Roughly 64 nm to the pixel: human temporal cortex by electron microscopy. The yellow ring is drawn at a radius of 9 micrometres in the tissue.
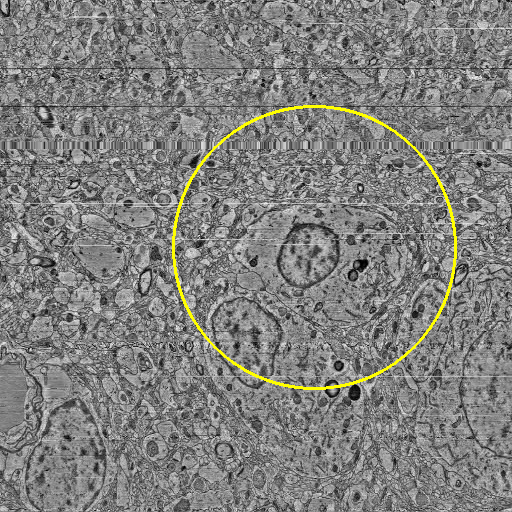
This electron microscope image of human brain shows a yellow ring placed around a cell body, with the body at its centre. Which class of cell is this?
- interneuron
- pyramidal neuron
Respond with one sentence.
The cell body at the ring's centre is a pyramidal neuron.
